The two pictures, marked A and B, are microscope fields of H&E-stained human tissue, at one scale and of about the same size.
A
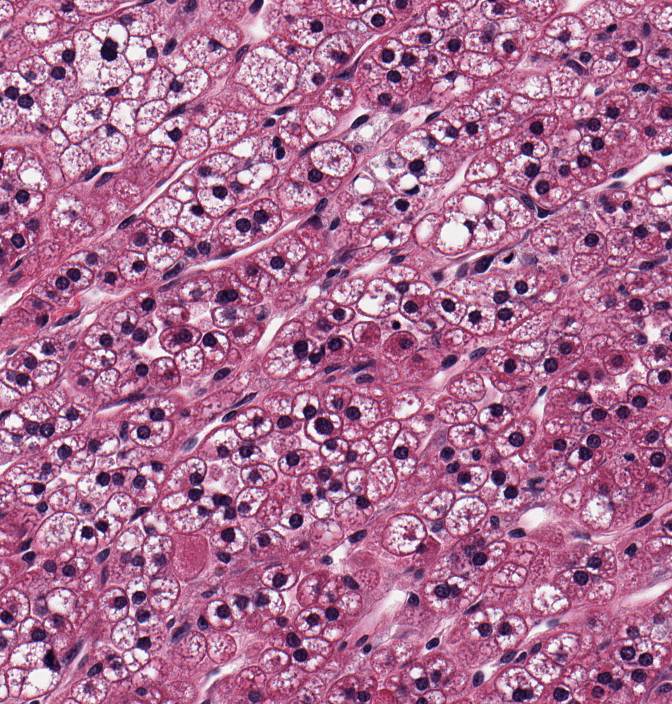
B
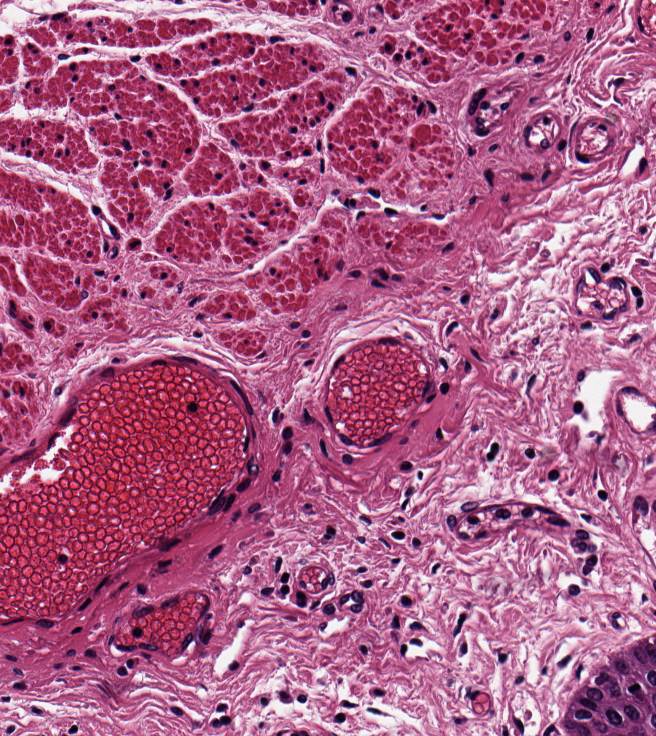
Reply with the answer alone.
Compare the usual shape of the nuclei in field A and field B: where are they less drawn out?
A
